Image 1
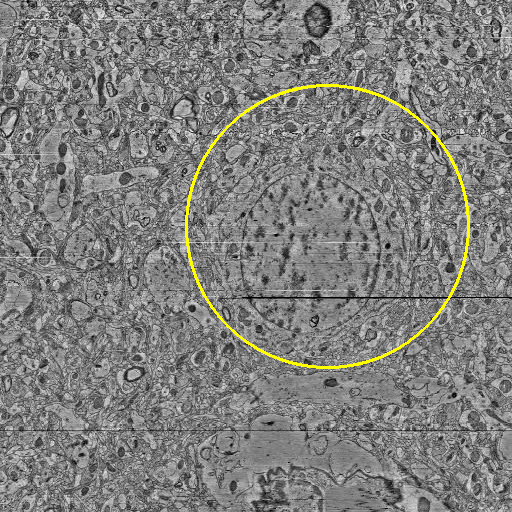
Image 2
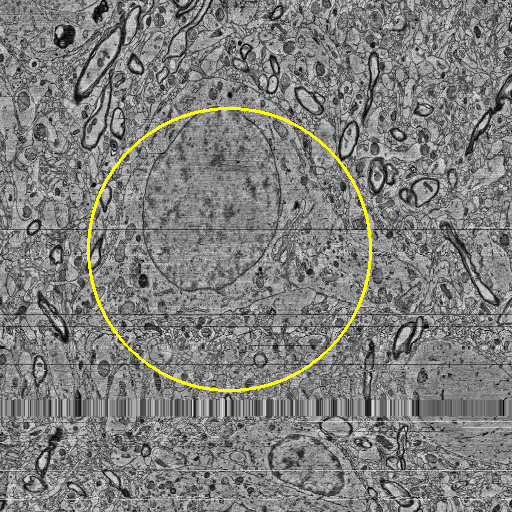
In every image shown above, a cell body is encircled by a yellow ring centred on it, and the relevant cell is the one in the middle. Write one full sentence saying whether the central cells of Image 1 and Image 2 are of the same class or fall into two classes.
The cell at the ring's centre in Image 1 and its counterpart in Image 2 are of the same class.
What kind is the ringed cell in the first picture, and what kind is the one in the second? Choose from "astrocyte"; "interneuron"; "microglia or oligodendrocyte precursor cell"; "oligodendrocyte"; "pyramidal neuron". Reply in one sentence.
Each cell at the centre of a ring is a pyramidal neuron.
